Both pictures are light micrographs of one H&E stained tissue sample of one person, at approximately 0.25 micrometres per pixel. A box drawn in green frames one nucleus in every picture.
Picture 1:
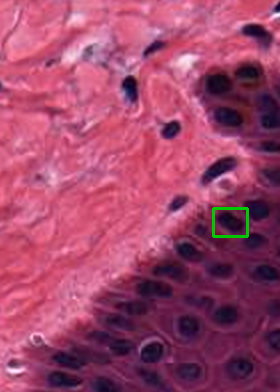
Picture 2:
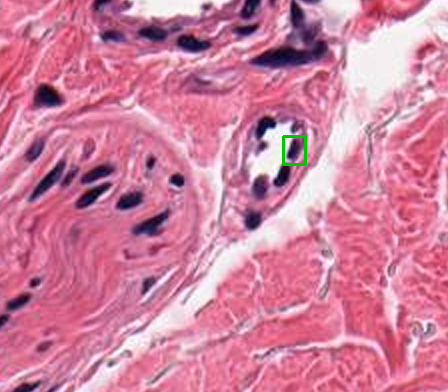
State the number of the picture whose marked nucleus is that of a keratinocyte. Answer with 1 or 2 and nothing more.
1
